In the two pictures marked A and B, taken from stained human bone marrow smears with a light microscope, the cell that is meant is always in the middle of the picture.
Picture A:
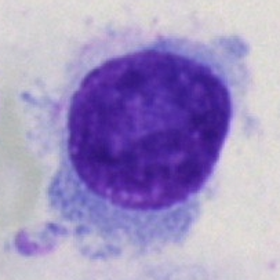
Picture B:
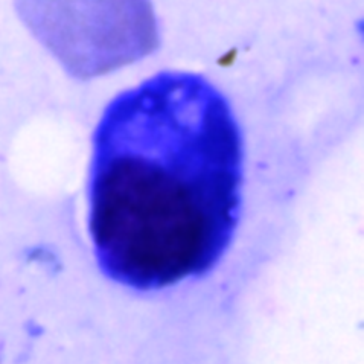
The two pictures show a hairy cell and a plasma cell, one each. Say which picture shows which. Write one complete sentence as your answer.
It is picture A that shows a hairy cell, and picture B that shows a plasma cell.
